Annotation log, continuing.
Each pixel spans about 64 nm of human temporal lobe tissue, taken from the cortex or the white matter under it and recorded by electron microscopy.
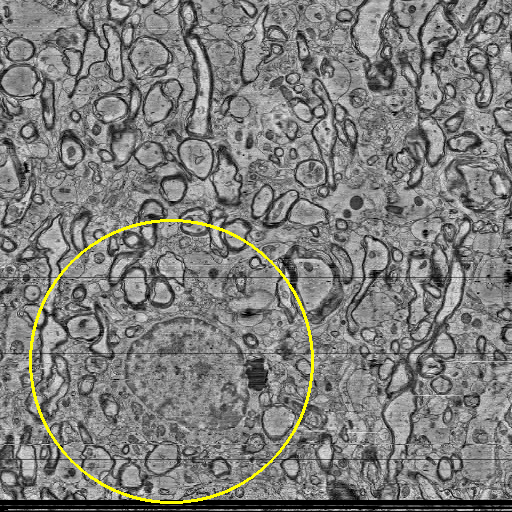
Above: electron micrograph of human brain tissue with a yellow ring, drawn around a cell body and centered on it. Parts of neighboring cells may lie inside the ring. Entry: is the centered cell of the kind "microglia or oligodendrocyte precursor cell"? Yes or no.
No, the centered cell is of another kind.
